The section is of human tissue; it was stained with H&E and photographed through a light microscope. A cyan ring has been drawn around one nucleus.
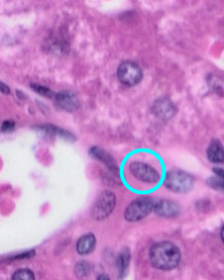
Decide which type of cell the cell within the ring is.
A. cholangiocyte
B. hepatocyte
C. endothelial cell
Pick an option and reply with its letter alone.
A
